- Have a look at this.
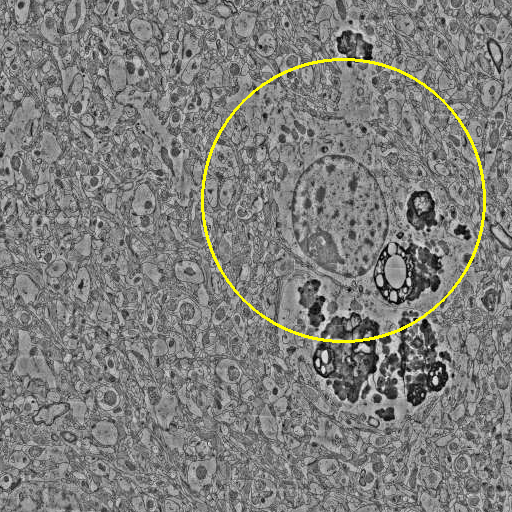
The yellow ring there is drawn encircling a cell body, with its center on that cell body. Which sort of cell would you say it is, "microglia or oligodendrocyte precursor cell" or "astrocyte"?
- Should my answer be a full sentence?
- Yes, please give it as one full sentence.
For this picture, an astrocyte is the cell where the yellow ring has its center.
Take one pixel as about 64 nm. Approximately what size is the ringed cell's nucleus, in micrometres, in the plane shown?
Roughly 8 micrometres by 6 micrometres, in this plane.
